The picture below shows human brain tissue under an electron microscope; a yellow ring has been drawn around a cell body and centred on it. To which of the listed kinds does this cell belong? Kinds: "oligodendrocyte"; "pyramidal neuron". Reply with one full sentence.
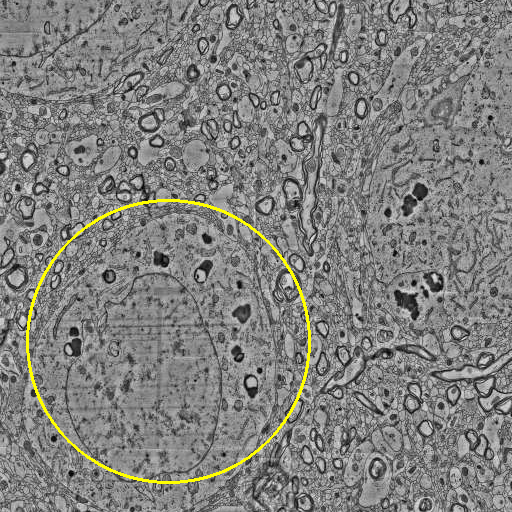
It is a pyramidal neuron that the yellow ring in the picture is centred on.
